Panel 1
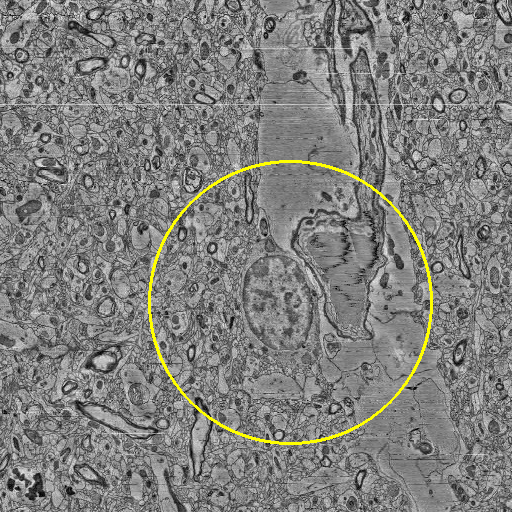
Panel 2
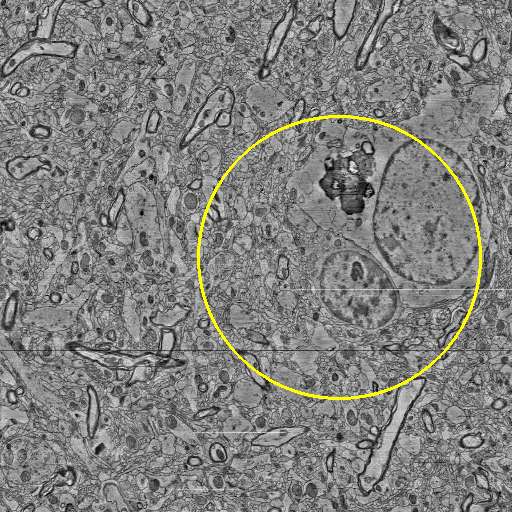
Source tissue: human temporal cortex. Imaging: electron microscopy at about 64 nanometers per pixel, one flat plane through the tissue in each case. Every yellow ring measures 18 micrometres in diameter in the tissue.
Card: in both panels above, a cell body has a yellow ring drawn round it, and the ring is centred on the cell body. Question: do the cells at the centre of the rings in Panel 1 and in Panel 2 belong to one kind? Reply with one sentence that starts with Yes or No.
Yes, the cells centred in the rings of Panel 1 and Panel 2 are one kind of cell.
